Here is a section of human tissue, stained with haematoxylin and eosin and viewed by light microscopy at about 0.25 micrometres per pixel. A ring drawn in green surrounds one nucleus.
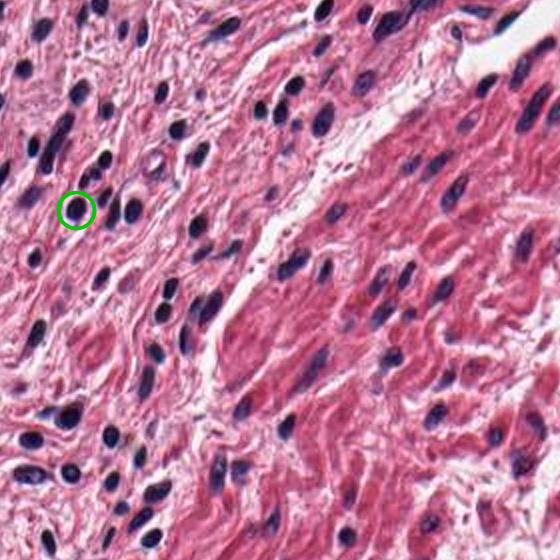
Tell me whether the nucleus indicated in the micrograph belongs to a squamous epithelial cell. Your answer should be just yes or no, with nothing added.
no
